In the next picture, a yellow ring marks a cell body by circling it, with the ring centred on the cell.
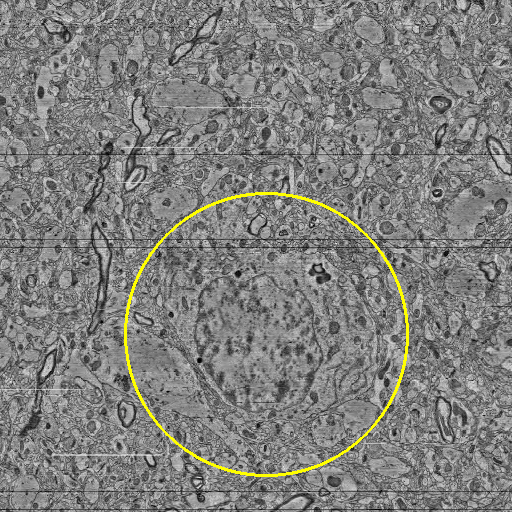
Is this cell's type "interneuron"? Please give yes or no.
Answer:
yes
